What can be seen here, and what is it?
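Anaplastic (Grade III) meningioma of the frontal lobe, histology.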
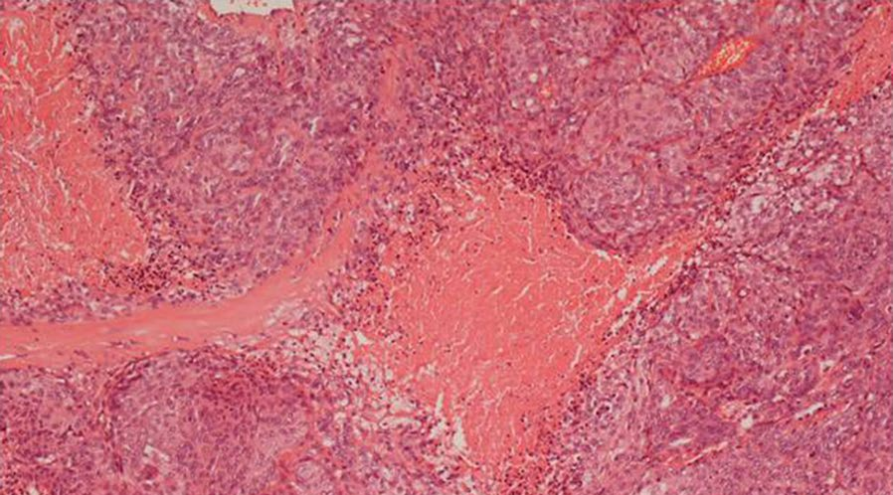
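This low-power view shows a meningothelial tumour arranged in lobules. Sheets of closely packed tumour cells form rounded lobules separated by thin pink fibrous bands and vessels. In the centre lies a pink, nucleus-poor area, and clusters of small dark cells and red blood cells are scattered at lobule edges.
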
